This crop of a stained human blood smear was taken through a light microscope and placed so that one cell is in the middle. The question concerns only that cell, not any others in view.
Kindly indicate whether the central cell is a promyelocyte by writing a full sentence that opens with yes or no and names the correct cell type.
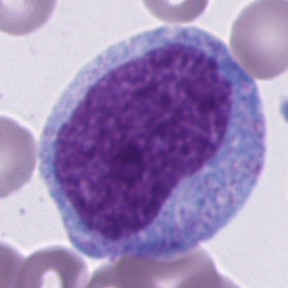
Yes, that is a promyelocyte in the middle of the crop.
